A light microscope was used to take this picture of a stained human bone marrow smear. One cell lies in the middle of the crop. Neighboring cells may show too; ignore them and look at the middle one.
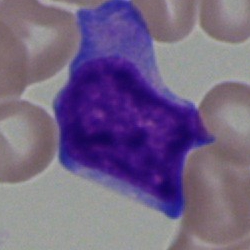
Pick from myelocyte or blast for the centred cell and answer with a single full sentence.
For this crop, the central cell is a blast.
